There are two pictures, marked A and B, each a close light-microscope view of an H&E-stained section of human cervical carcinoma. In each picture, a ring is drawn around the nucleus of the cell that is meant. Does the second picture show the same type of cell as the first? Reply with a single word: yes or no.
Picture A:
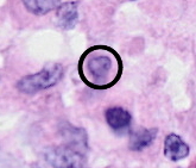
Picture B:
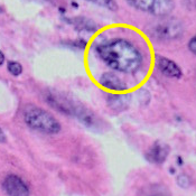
no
